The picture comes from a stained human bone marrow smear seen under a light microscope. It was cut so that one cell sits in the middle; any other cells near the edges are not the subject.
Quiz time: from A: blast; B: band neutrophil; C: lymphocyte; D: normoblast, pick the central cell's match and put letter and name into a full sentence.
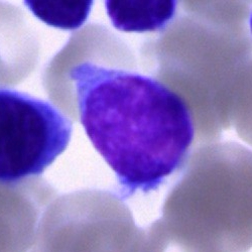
That middle cell is a lymphocyte, and option C is therefore correct.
